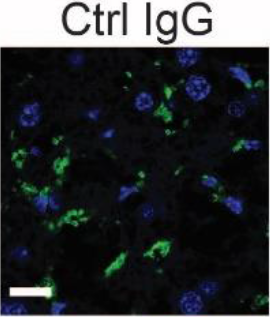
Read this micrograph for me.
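Blue nuclei are spread over a dark background: some are large and round with fine texture, others smaller and more elongated. Between them lie numerous small, irregular green clumps and short streaks, many of them much smaller than a nucleus, scattered through the field rather than in one place.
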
